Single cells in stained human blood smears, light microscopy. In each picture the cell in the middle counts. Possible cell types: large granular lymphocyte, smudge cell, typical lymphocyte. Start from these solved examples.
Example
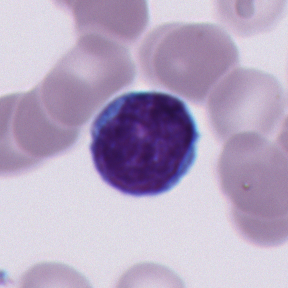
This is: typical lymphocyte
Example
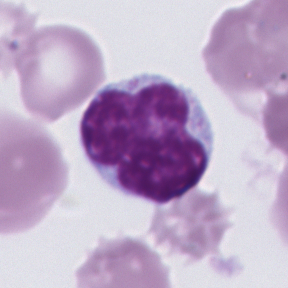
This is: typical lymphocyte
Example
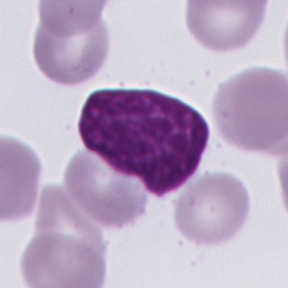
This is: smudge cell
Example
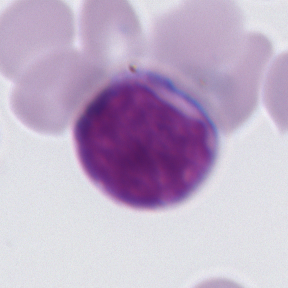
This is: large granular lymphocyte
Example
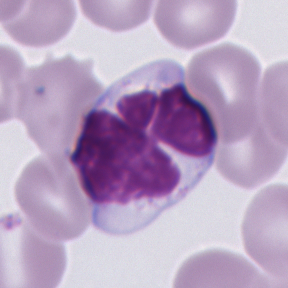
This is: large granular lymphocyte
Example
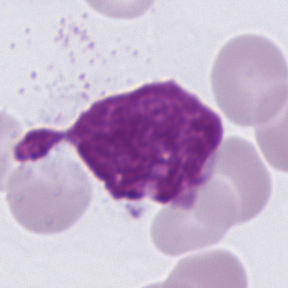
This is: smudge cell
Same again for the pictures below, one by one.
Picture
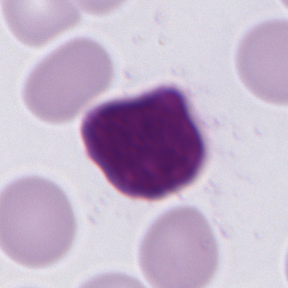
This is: smudge cell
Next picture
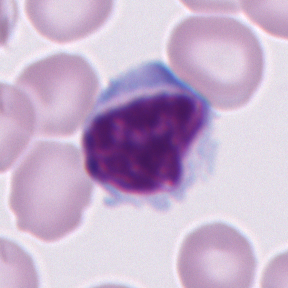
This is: typical lymphocyte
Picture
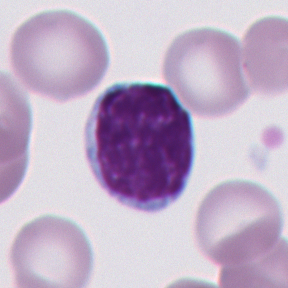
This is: typical lymphocyte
